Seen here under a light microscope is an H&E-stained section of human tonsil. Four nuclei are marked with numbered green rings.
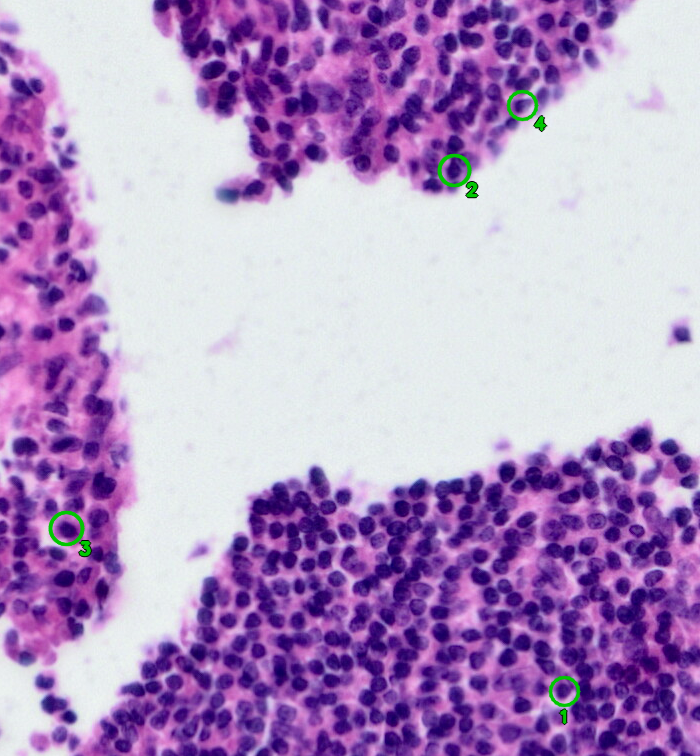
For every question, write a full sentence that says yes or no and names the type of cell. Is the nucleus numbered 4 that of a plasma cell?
No, the cell with the number 4 is a small lymphocyte, not a plasma cell.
